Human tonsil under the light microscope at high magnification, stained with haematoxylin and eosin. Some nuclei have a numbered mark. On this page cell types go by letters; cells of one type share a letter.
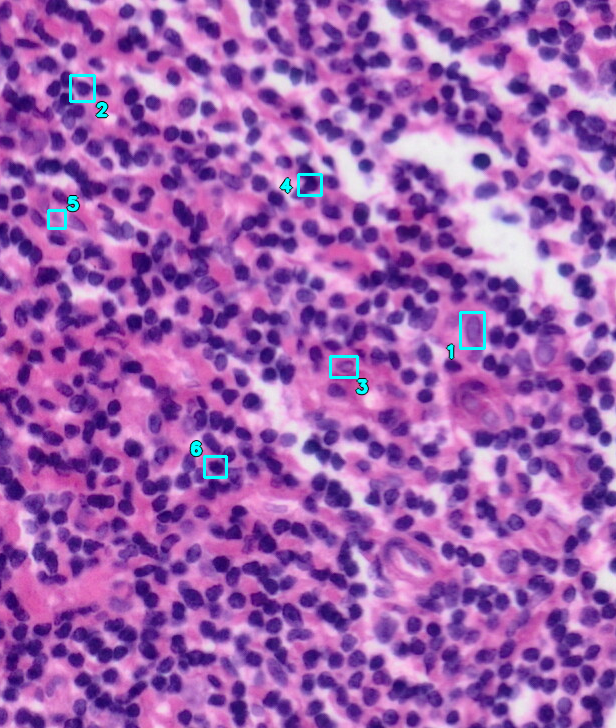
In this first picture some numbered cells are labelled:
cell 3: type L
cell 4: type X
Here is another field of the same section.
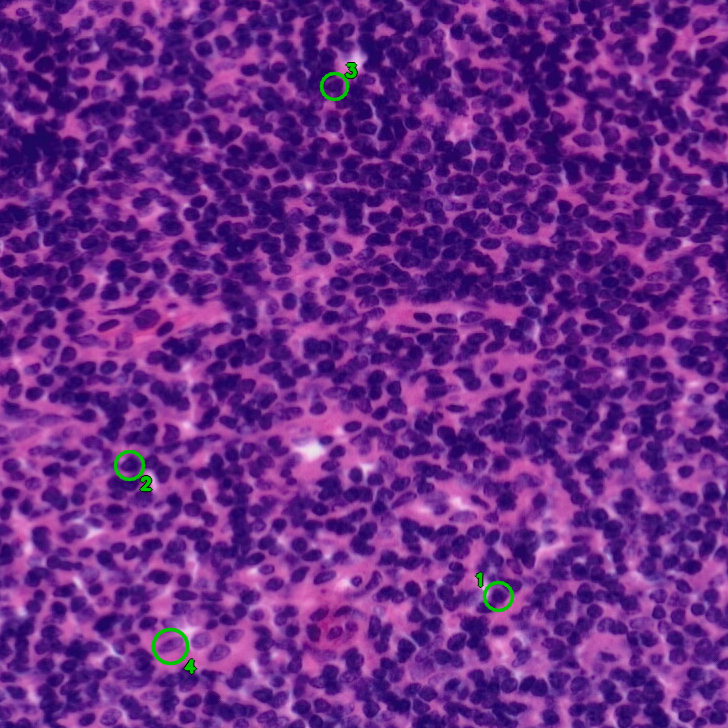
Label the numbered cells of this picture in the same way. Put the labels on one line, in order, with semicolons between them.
type X; type X; type X; type L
